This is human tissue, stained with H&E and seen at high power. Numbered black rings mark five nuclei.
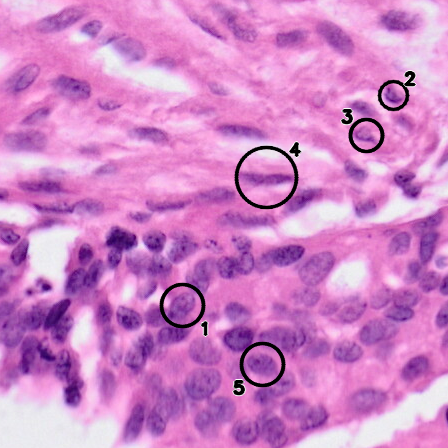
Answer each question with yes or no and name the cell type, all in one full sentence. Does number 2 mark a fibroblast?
Yes, cell 2 among the marked cells is a fibroblast.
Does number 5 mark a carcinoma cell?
Yes, as for number 5, the cell is a carcinoma cell.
